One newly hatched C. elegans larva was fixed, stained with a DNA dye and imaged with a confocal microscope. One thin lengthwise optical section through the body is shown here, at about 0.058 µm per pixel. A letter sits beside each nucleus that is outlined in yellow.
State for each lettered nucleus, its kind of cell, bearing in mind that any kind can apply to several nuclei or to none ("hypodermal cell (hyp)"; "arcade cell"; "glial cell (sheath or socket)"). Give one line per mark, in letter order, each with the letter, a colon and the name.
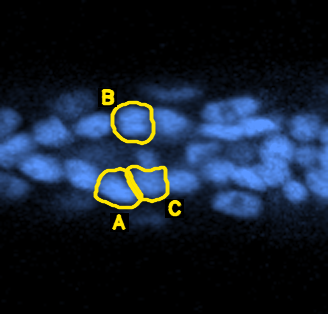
A: glial cell (sheath or socket)
B: hypodermal cell (hyp)
C: glial cell (sheath or socket)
